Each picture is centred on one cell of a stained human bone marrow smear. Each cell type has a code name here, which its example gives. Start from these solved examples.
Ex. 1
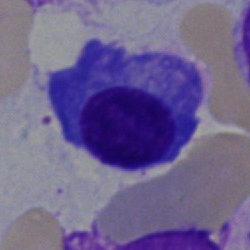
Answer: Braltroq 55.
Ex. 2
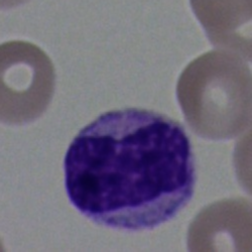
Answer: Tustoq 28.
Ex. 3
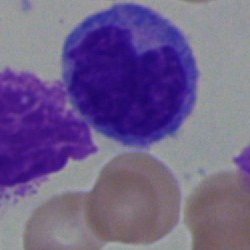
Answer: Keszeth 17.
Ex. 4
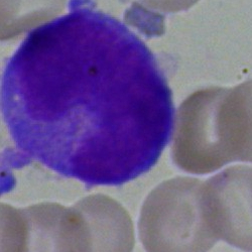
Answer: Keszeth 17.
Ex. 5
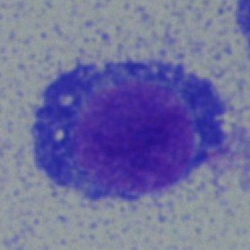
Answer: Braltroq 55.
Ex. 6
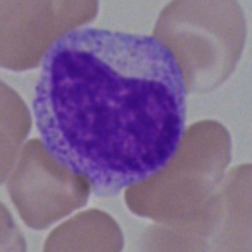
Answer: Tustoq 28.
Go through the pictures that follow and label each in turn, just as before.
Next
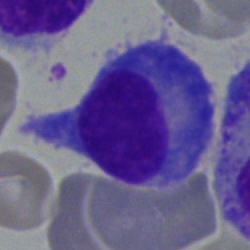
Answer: Braltroq 55.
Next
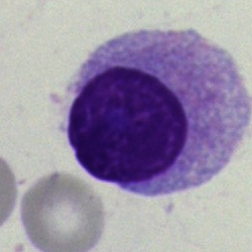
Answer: Braltroq 55.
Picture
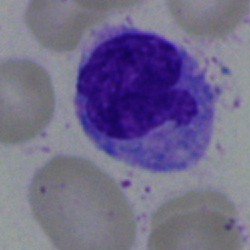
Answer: Keszeth 17.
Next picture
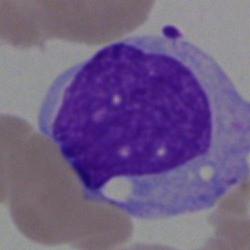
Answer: Keszeth 17.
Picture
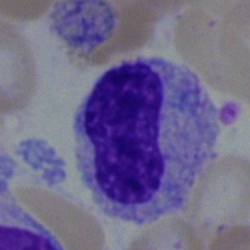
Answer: Tustoq 28.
